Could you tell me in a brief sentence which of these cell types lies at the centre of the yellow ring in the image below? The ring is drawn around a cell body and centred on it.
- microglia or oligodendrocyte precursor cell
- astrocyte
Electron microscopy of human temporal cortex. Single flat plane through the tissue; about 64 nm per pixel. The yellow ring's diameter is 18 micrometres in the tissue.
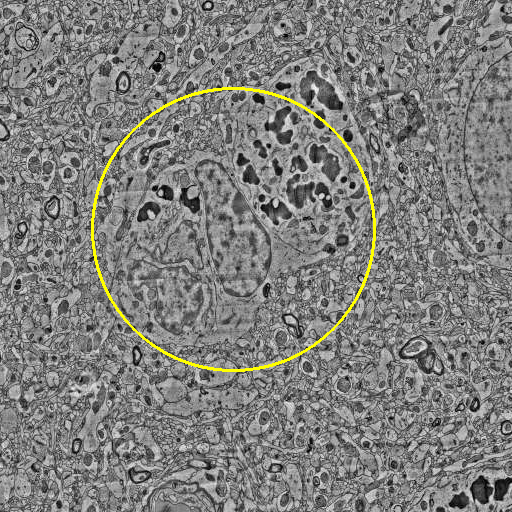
The cell centred in the ring is a microglial cell or oligodendrocyte precursor cell.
